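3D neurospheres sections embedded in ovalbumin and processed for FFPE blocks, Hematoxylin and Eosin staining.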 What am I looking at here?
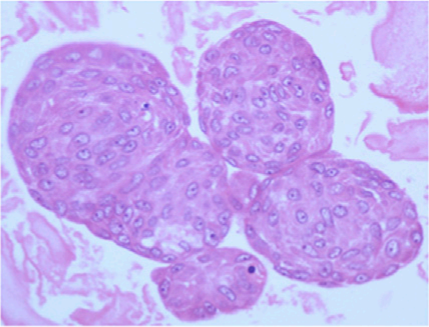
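The cells have pink cytoplasm and round to oval nuclei, many with a visible nucleolus and a thin clear halo around the nucleus. A few small dark, condensed nuclei are scattered among them.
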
